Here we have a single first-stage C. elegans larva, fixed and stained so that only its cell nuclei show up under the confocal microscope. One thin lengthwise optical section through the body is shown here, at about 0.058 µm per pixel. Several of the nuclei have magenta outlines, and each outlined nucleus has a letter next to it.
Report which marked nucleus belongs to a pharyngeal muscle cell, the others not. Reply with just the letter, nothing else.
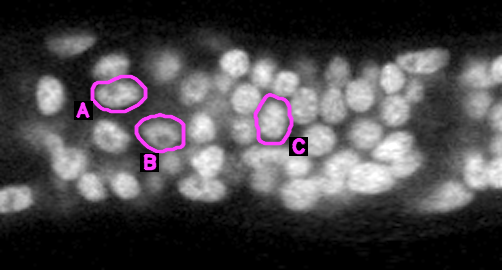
B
